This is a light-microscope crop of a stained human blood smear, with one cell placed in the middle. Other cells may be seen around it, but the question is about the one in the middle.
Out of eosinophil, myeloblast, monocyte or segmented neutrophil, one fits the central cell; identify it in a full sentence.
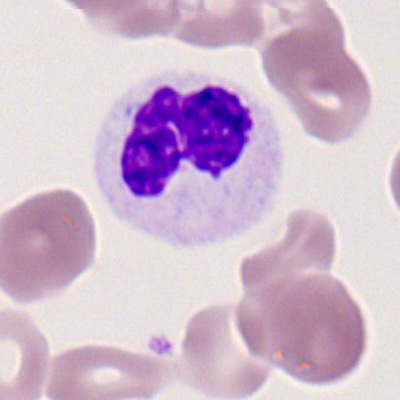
At the center of the crop sits a segmented neutrophil.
